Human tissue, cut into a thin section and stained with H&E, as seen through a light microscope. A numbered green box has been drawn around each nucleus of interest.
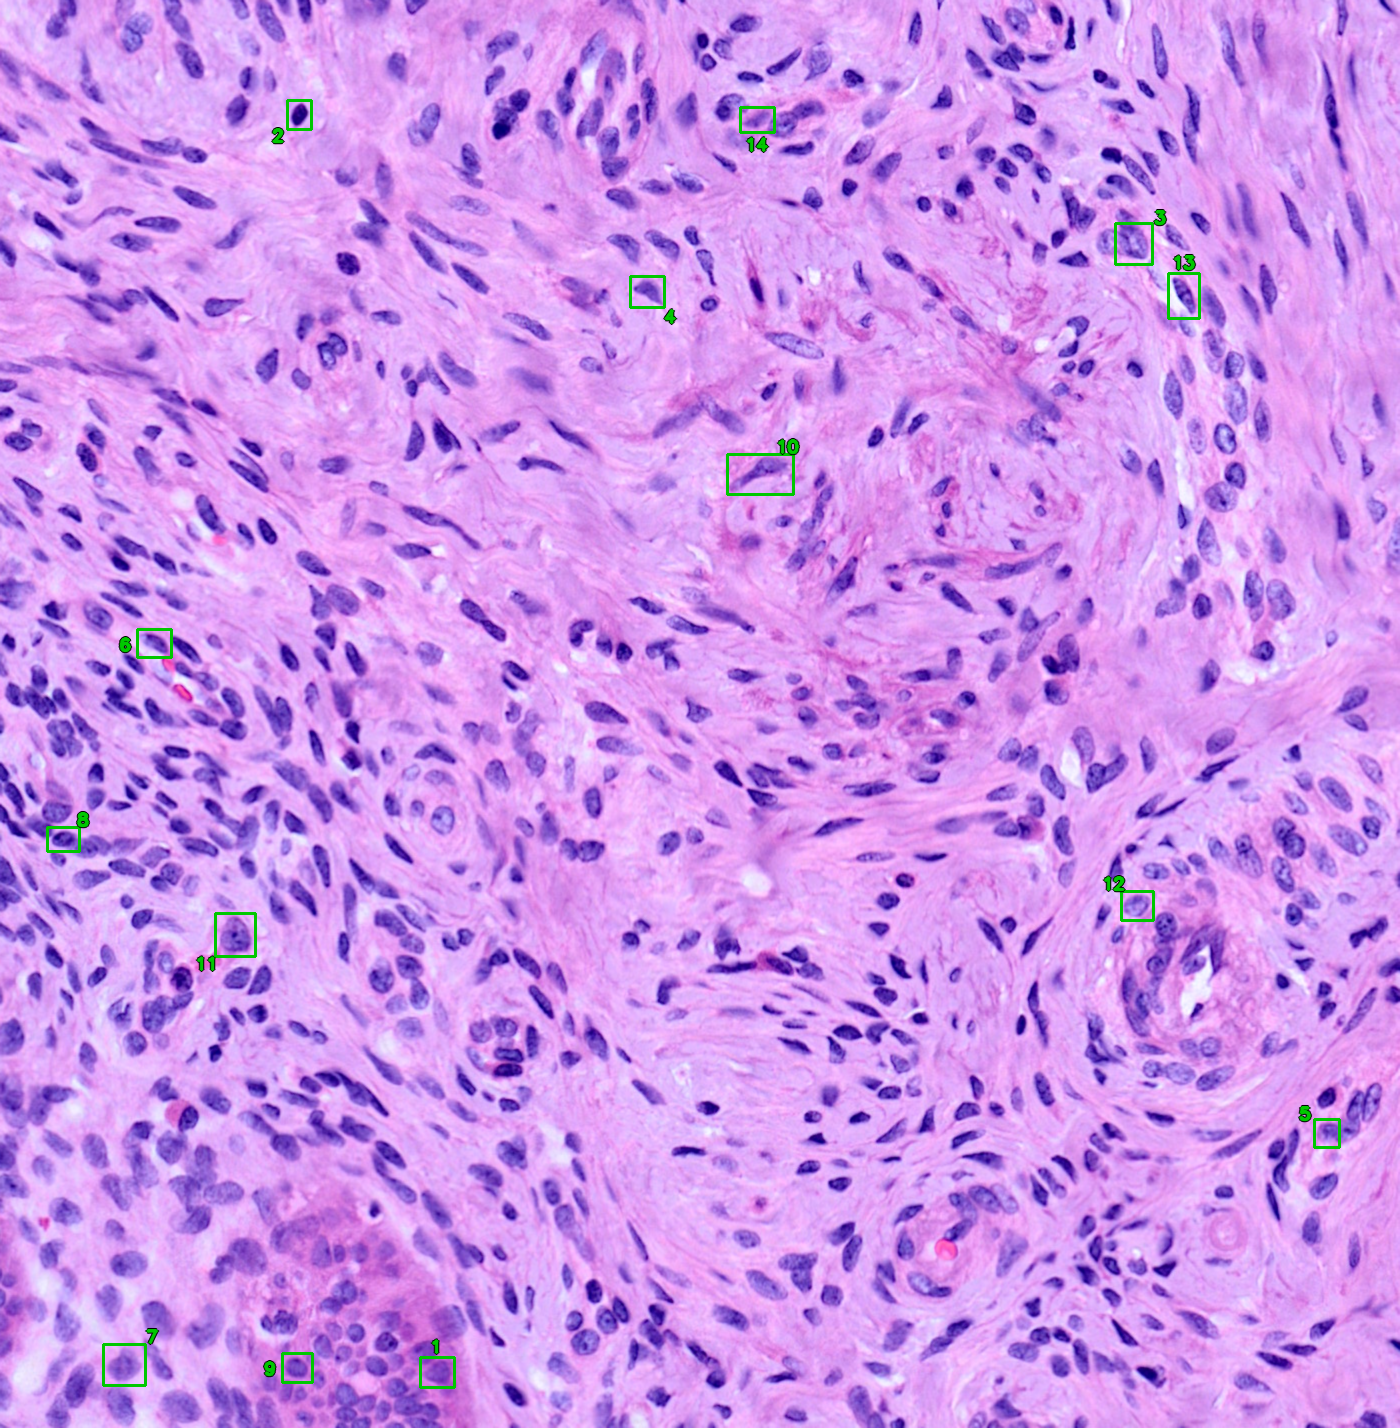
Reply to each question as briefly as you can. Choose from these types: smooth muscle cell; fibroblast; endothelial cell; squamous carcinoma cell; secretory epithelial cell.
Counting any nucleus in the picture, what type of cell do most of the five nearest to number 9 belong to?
secretory epithelial cell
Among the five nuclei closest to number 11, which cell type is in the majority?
fibroblast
